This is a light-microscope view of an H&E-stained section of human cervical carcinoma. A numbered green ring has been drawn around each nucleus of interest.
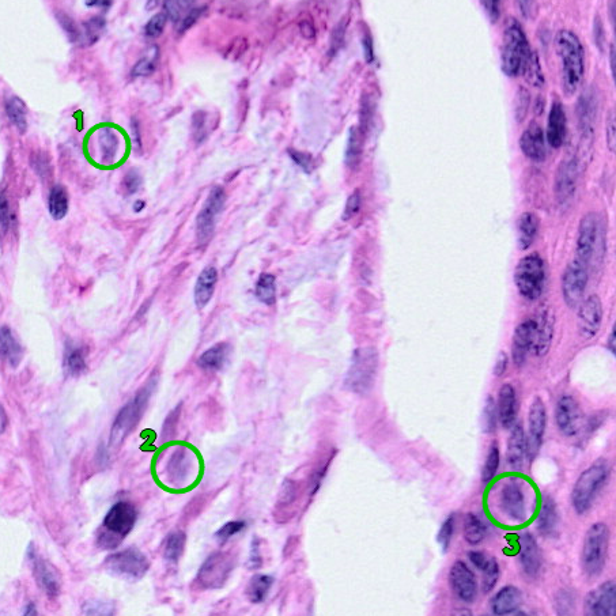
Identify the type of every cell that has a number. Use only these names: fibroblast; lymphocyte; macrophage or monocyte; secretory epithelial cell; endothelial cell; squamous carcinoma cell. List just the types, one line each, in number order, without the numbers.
fibroblast
fibroblast
squamous carcinoma cell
